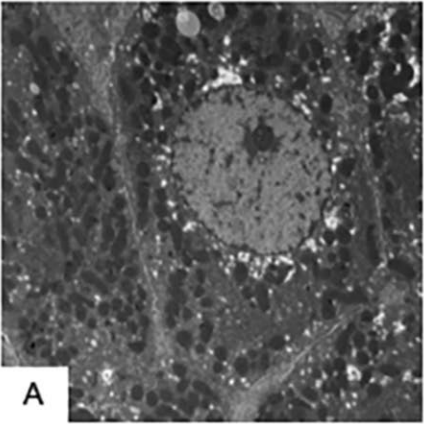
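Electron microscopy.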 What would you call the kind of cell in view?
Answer: Hepatocytes.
